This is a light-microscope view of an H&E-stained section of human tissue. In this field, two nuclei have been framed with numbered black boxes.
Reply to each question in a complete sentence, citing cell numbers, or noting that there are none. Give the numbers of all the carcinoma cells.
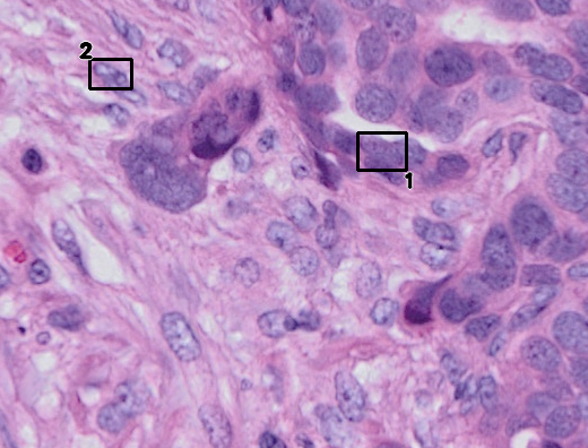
Across all the numbered cells, only number 1 is a carcinoma cell.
